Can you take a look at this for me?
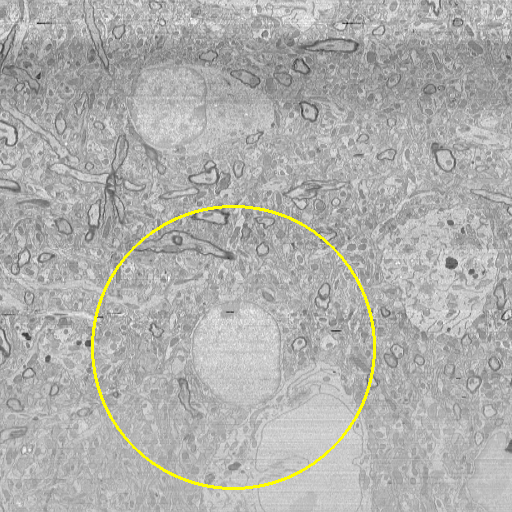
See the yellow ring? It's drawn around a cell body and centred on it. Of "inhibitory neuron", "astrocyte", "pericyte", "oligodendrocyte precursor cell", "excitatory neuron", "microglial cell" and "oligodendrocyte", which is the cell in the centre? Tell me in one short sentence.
The one in the centre is an astrocyte.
